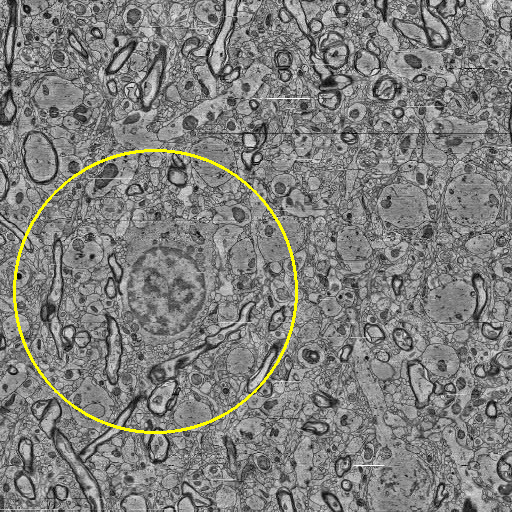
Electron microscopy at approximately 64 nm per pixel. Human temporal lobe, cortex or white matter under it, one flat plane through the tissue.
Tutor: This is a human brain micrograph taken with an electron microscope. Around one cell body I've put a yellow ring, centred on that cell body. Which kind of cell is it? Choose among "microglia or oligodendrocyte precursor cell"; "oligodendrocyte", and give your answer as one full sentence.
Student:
Going by your list, the cell centred in the yellow ring is an oligodendrocyte.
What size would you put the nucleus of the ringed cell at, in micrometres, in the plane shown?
The nucleus measures about 6 by 5 micrometres in this plane.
